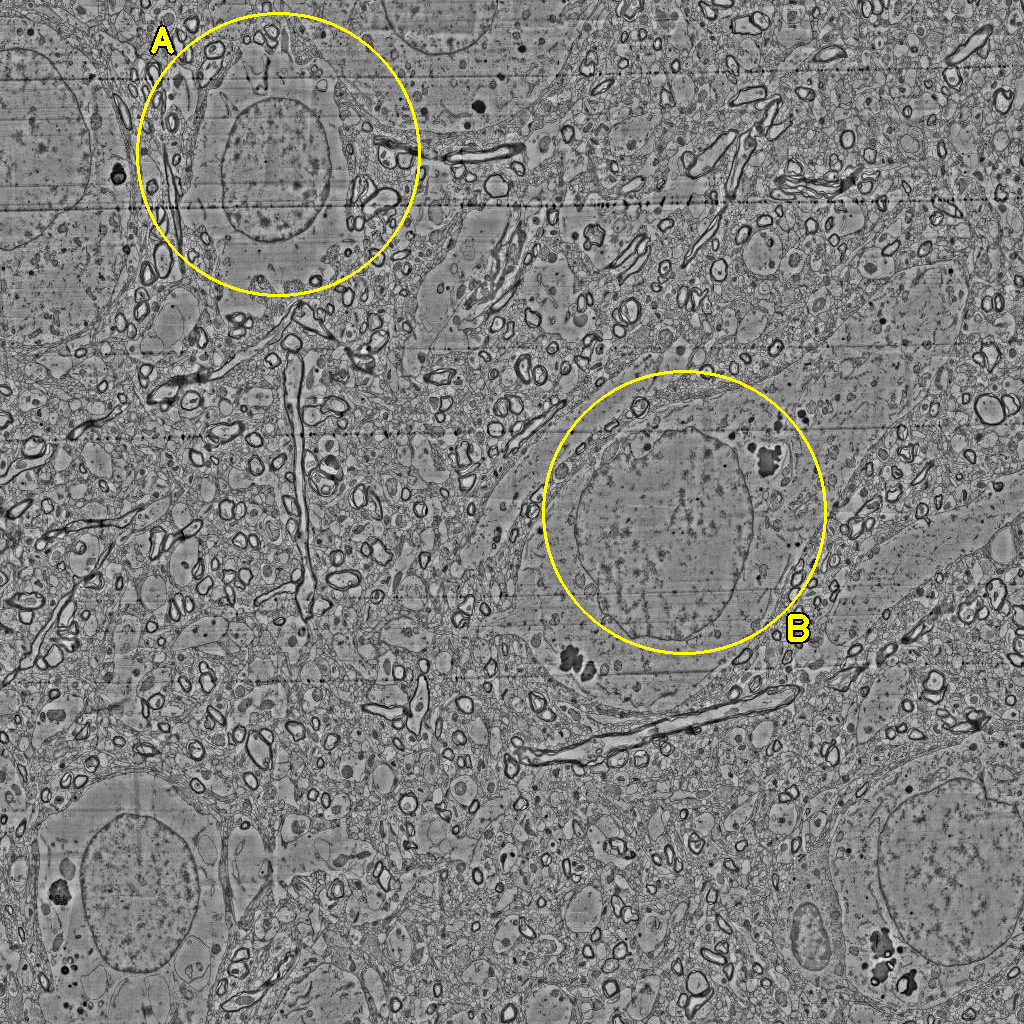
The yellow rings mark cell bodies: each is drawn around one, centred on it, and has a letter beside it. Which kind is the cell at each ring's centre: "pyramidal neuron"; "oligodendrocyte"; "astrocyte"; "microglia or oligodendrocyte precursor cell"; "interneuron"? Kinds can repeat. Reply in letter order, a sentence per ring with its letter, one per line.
At the centre of ring A lies an astrocyte.
At the centre of ring B lies a pyramidal neuron.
